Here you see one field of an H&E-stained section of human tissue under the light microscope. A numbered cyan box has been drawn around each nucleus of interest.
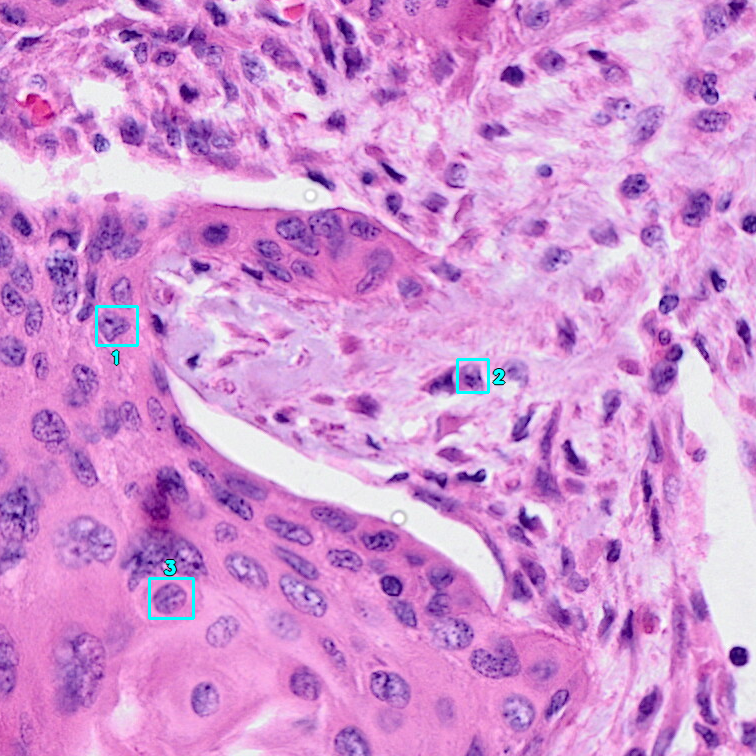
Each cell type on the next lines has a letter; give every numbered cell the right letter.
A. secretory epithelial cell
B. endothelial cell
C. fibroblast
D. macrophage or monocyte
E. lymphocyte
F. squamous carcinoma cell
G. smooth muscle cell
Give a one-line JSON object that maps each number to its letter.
{"1": "F", "2": "D", "3": "F"}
